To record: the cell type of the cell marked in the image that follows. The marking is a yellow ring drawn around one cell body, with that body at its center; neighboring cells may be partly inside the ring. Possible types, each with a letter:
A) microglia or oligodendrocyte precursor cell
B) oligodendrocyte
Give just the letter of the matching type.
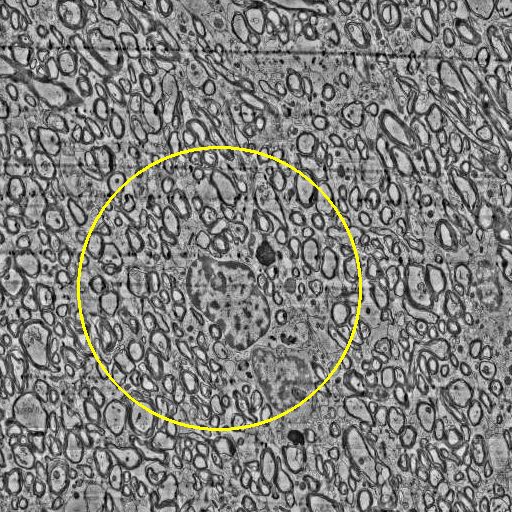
A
